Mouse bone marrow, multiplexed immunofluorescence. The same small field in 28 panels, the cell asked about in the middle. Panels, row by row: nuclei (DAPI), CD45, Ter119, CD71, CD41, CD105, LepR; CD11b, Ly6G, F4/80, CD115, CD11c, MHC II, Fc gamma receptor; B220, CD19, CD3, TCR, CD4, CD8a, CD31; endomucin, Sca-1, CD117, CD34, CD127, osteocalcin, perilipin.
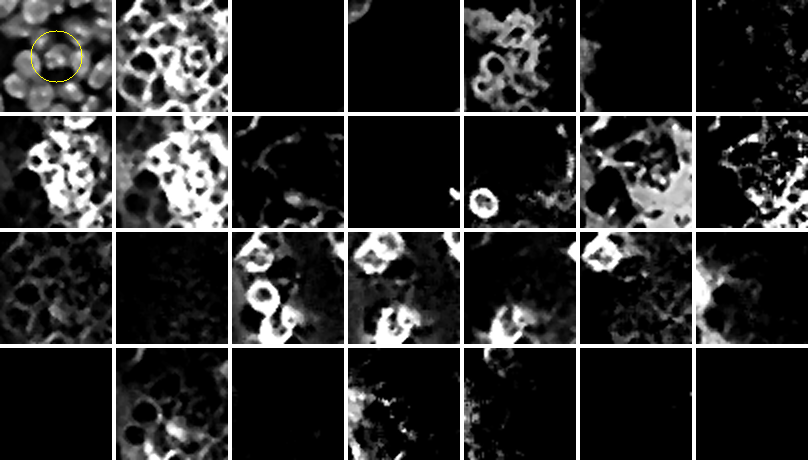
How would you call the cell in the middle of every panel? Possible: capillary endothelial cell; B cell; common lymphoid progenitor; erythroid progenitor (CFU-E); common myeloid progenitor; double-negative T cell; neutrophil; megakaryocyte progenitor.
I would call it a neutrophil.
